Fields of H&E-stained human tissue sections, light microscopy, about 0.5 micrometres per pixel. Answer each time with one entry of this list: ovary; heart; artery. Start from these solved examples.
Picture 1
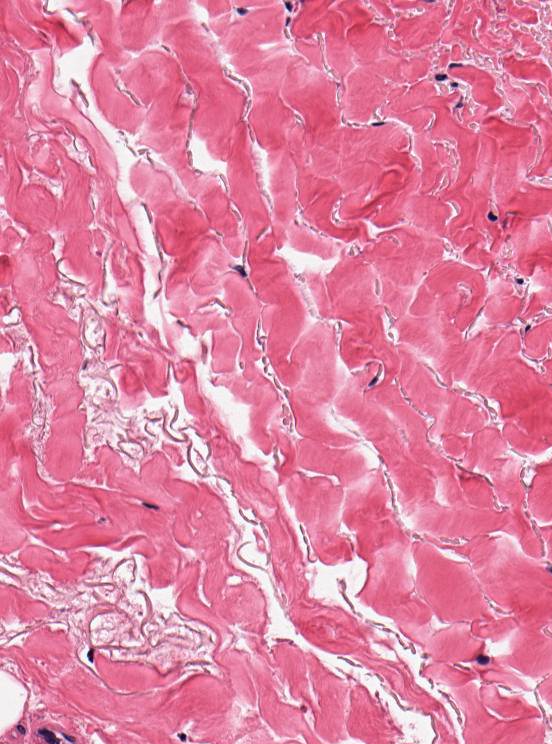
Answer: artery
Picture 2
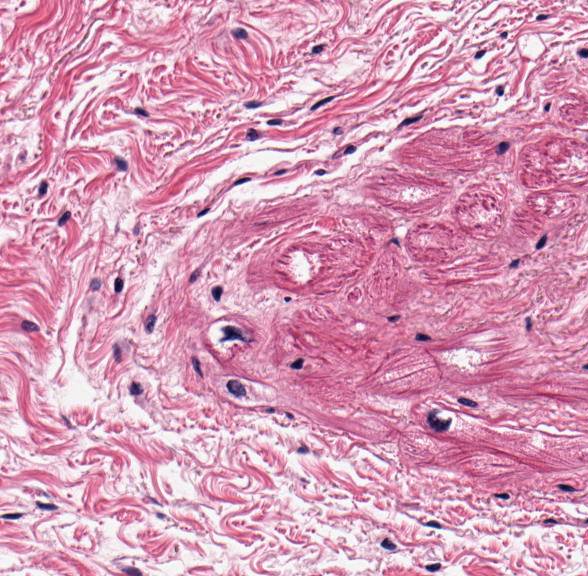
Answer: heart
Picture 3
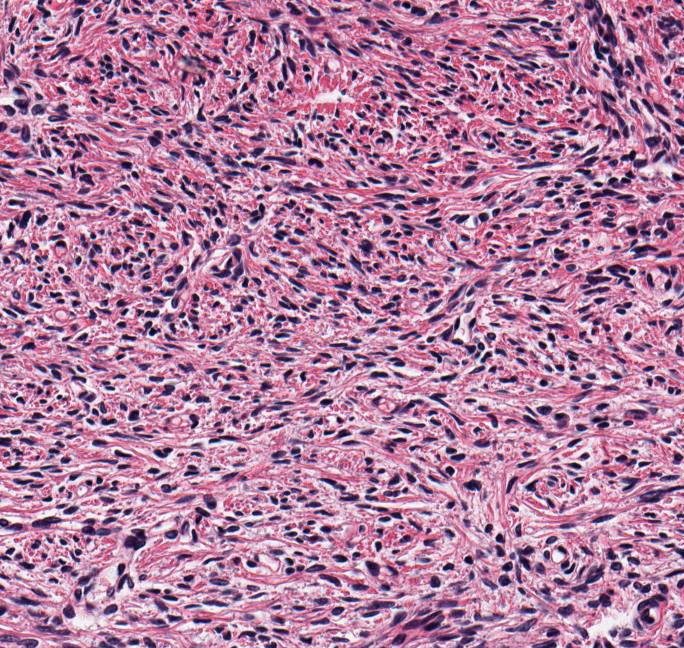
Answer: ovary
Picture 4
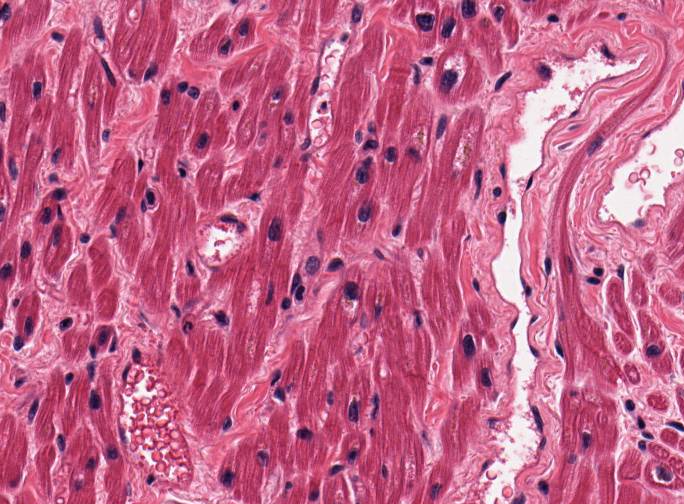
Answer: heart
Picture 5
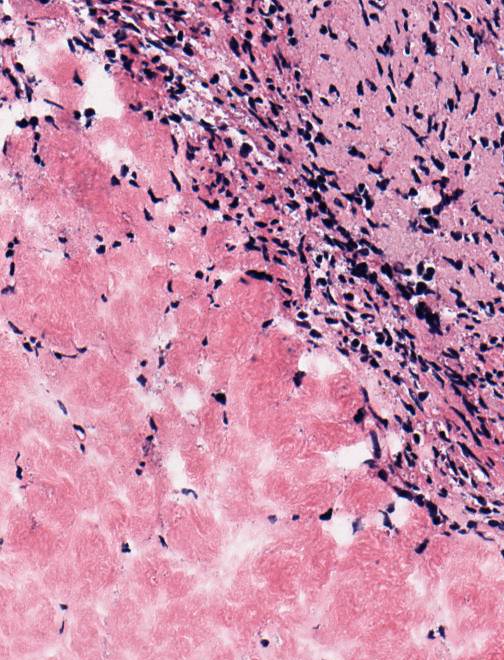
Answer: ovary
